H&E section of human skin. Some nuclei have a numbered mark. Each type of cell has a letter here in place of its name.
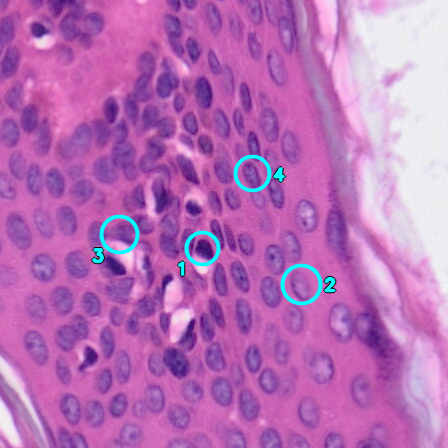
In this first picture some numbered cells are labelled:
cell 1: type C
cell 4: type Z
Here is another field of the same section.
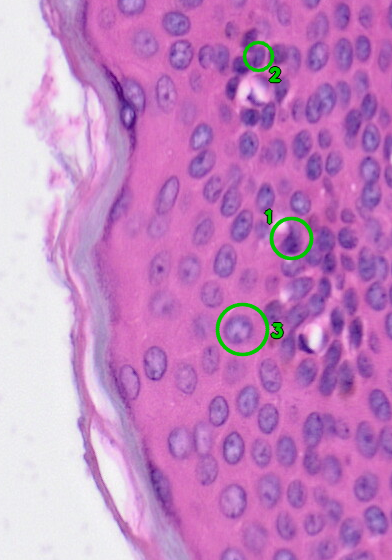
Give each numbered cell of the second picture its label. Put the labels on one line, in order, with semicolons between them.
type C; type C; type Z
